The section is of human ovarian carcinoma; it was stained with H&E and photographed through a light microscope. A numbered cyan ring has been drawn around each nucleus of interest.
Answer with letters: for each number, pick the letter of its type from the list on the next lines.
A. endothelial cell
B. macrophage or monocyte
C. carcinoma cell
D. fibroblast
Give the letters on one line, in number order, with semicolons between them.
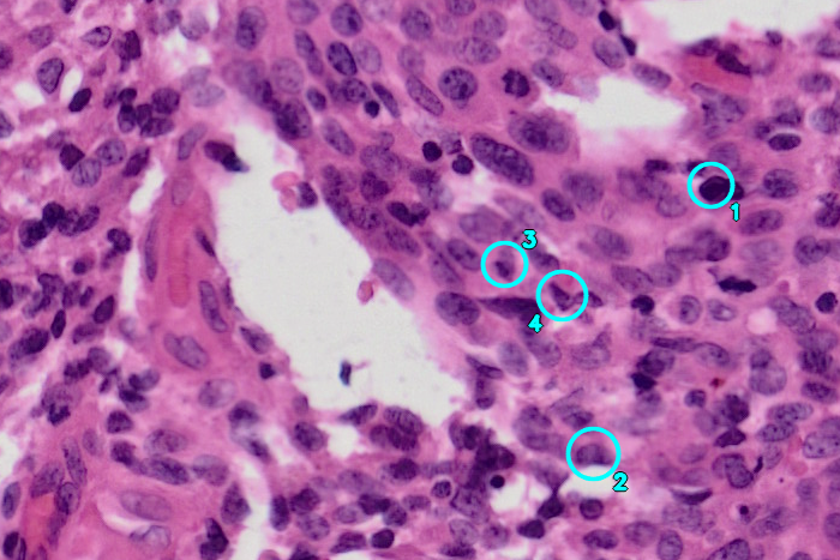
C; C; B; C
